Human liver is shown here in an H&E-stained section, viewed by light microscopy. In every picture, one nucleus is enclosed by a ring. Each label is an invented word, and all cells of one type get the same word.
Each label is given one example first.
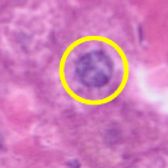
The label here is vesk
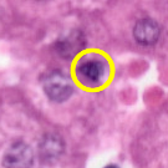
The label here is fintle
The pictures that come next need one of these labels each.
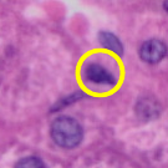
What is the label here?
fintle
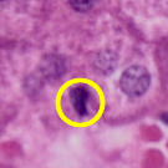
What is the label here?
fintle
